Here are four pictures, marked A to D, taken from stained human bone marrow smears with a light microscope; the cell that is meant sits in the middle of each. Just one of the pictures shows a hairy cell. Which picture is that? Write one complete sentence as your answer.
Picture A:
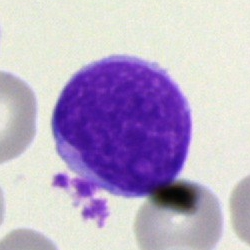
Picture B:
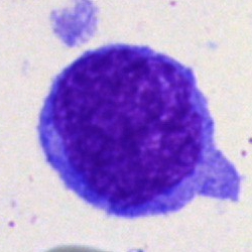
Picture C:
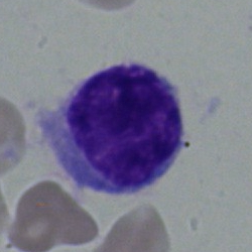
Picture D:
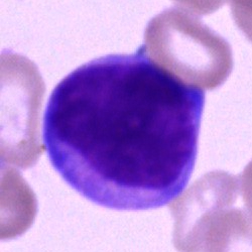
Picture C is the one that shows the hairy cell.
